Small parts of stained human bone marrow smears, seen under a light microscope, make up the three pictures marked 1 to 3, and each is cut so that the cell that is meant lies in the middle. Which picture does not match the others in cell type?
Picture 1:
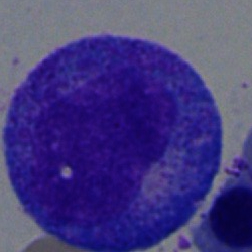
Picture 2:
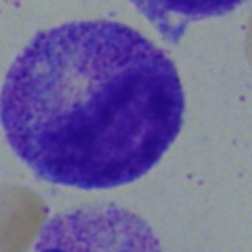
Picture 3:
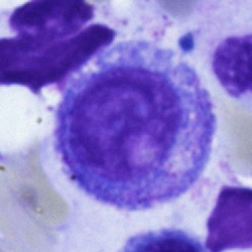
2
